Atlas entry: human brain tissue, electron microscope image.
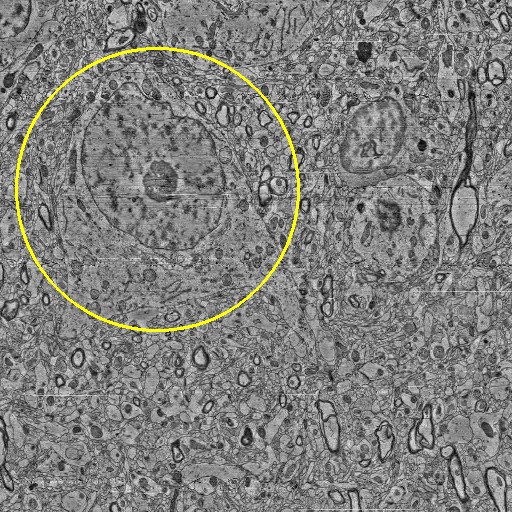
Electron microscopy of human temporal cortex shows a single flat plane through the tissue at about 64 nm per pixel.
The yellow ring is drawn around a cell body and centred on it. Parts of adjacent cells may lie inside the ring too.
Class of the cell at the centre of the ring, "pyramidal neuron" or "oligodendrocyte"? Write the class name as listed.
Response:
pyramidal neuron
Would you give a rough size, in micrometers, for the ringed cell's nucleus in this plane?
The nucleus has a long axis of about 11 micrometres and a short axis of about 9 micrometres in this plane.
